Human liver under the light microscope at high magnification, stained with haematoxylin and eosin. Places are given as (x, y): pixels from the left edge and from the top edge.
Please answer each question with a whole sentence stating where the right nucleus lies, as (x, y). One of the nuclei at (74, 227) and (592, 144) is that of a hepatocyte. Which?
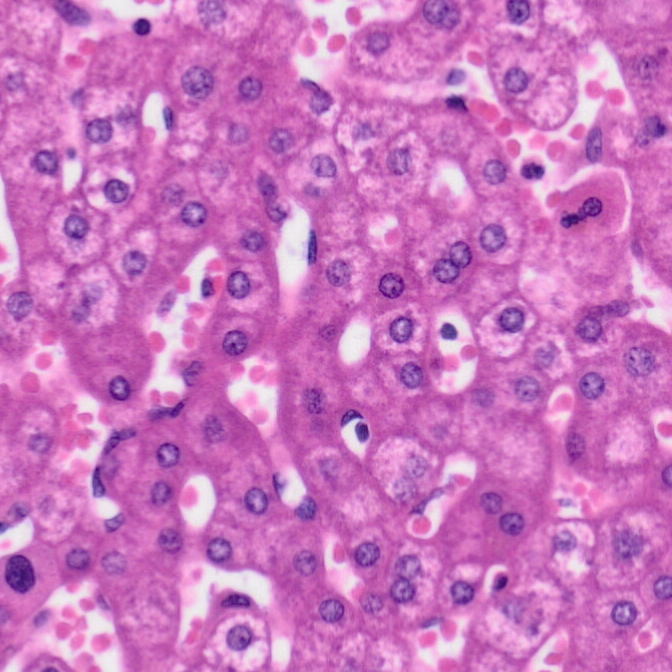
The nucleus that belongs to a hepatocyte sits at (74, 227).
